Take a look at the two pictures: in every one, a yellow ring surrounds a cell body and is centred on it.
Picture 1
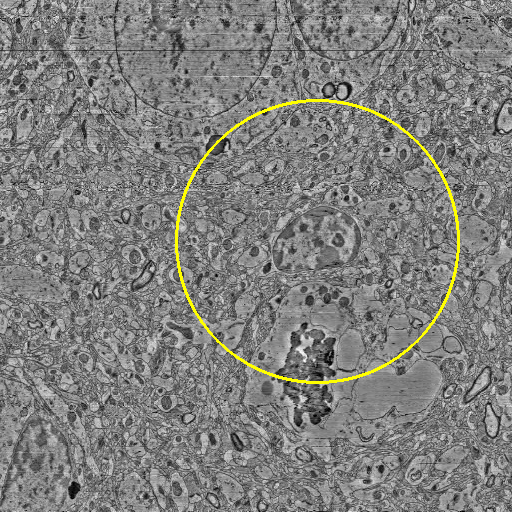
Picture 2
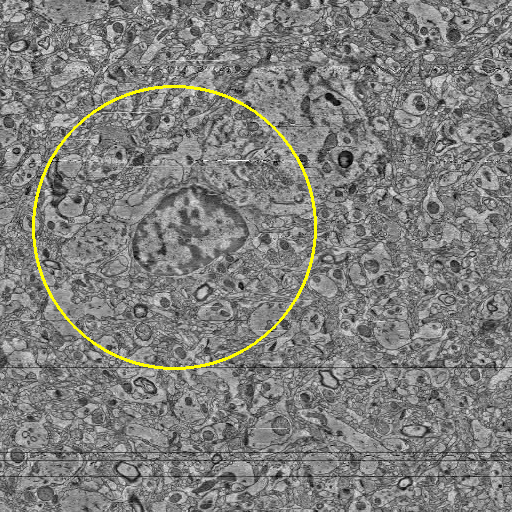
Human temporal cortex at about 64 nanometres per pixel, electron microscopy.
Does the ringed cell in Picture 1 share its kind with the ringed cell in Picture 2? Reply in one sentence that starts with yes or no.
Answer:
Yes, the two centred cells, one per picture, are of one kind.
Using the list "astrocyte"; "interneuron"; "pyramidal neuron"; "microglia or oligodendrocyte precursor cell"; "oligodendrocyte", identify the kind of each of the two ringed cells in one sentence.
In each picture the ringed cell is a microglial cell or oligodendrocyte precursor cell.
